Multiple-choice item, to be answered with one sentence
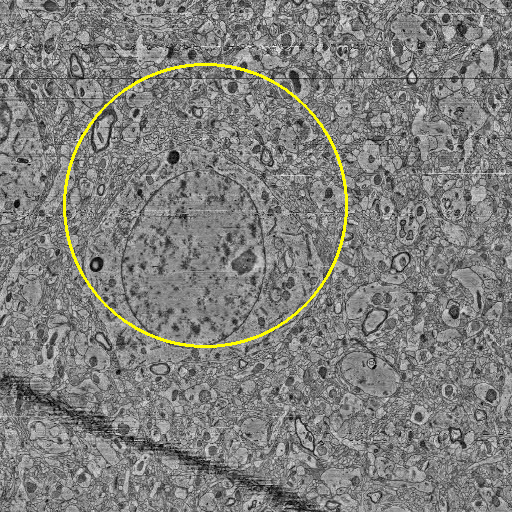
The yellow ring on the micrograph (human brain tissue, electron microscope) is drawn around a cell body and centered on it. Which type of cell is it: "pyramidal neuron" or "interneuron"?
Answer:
The ring is centered on a pyramidal neuron.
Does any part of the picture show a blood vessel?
No, the picture includes no blood vessel.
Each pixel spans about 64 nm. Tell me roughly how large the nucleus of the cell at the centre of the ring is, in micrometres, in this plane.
About 12 micrometres by about 9 micrometres in this plane.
